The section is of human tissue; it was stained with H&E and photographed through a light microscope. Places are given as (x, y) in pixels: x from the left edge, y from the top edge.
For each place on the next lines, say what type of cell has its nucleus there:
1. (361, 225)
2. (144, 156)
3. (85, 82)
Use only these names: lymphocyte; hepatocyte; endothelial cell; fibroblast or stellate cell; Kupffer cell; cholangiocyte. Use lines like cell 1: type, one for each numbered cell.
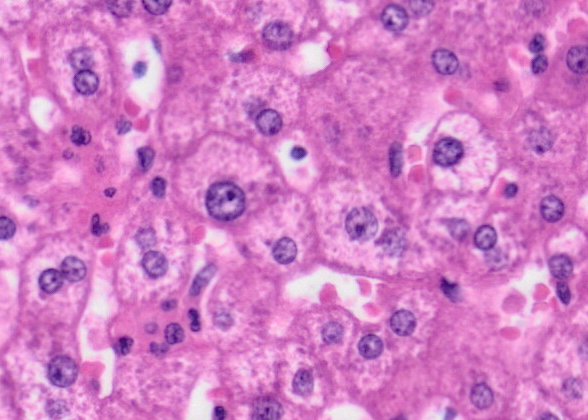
cell 1: hepatocyte
cell 2: Kupffer cell
cell 3: hepatocyte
